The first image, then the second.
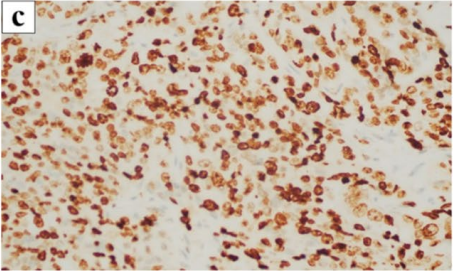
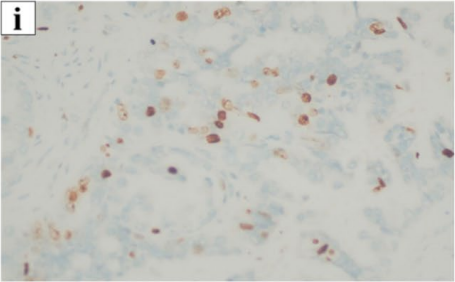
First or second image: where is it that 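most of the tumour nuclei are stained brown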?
the first image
